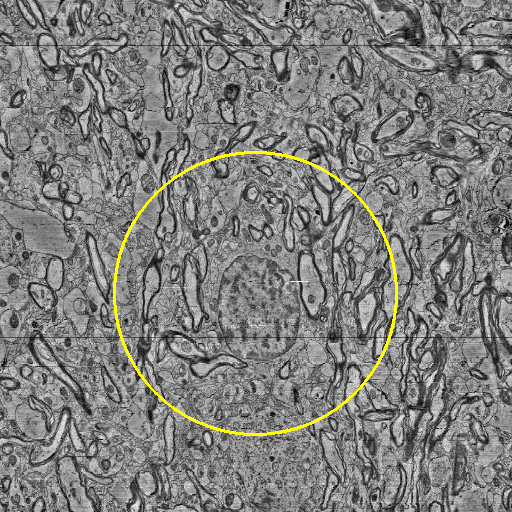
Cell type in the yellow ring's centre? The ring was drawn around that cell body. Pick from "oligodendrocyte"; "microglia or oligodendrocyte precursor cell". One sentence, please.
The ringed cell body is that of an oligodendrocyte.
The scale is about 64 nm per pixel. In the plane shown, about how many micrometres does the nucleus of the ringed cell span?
About 7 by 6 micrometers for the nucleus, in this plane.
